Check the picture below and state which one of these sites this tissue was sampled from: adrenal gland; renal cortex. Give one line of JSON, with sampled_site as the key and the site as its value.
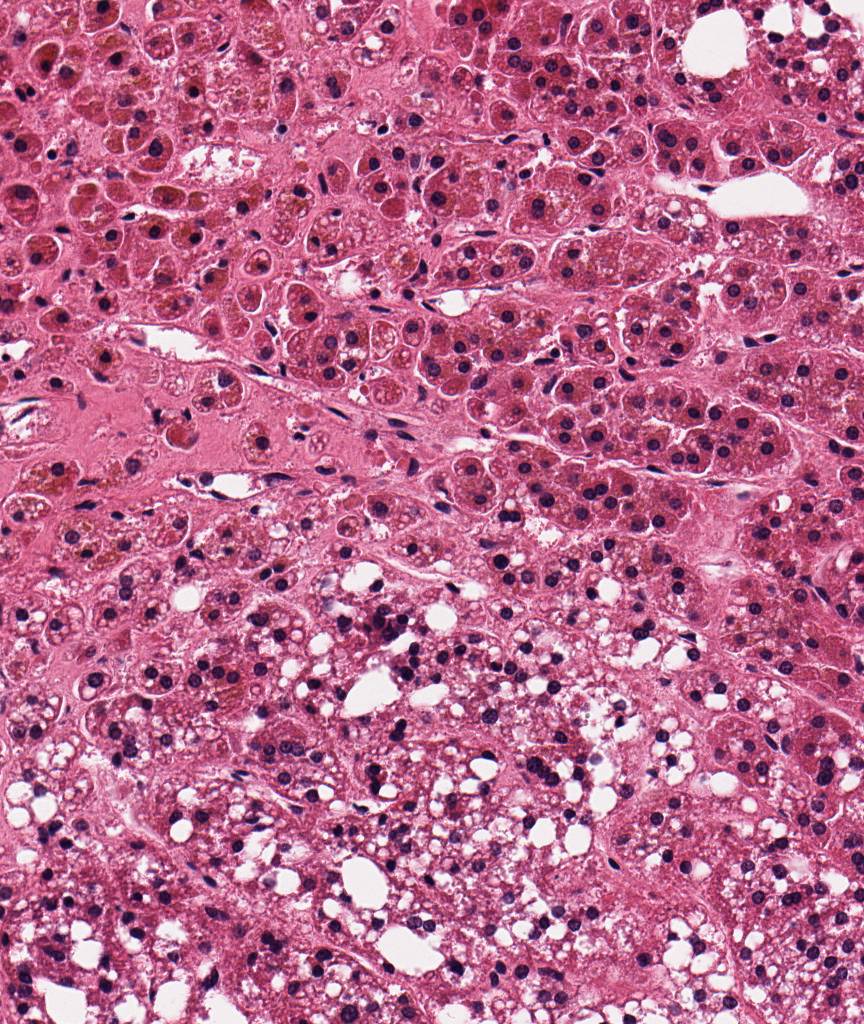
{"sampled_site": "adrenal gland"}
